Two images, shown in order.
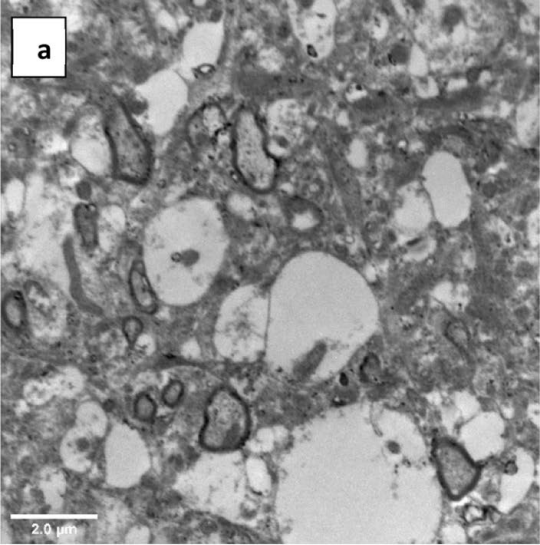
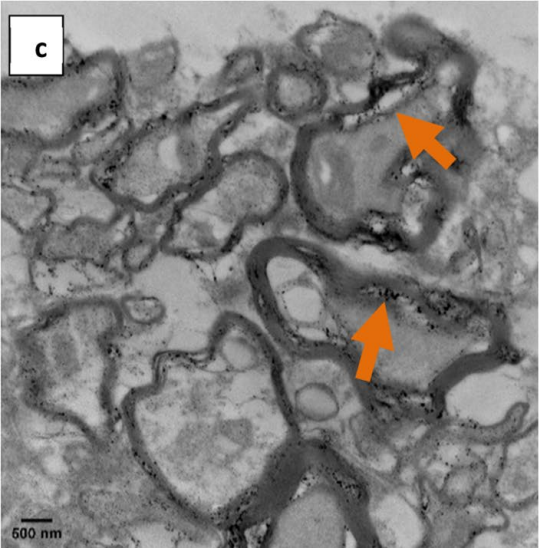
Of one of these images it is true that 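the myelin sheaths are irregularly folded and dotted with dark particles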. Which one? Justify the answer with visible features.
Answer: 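Second image: thick dark sheaths are wavy and distorted, with many small black dots along them. First image: sheaths form compact rings around round axon profiles without scattered black dots. The answer: the second image.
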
